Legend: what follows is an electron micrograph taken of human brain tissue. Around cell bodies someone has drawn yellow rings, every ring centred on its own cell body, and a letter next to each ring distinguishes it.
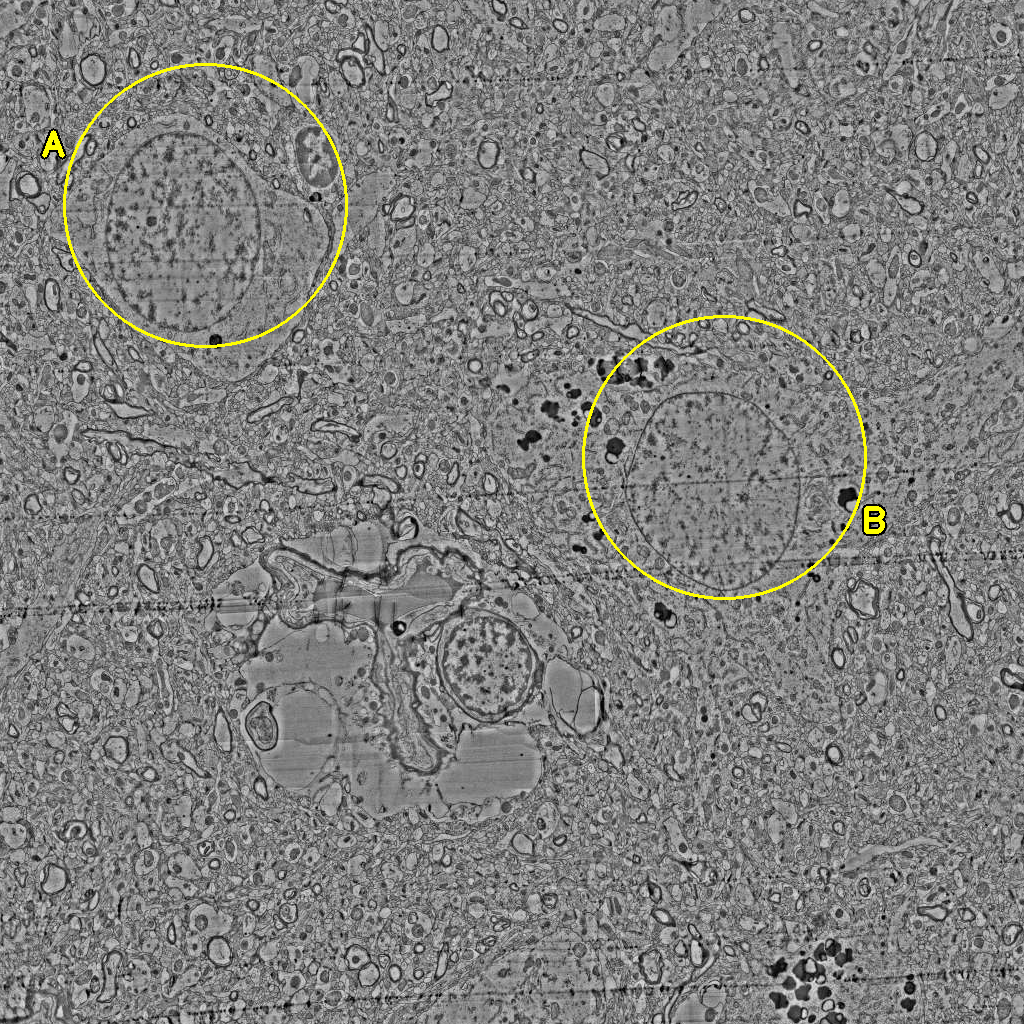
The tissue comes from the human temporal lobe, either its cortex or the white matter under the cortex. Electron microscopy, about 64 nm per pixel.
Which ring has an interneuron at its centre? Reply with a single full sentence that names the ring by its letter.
Ring A is the one centred on the cell asked for in the picture.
